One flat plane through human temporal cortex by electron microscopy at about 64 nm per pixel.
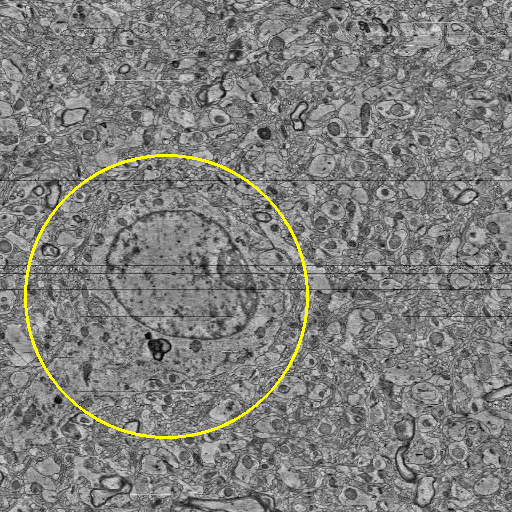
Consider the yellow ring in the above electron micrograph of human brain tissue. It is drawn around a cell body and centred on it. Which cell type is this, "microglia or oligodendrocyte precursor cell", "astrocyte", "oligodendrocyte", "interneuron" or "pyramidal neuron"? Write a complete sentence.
The cell in question is a pyramidal neuron.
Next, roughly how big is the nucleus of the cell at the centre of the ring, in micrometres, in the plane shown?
In this plane, the nucleus of the cell at the centre of the ring measures about 10 by 8 micrometres.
